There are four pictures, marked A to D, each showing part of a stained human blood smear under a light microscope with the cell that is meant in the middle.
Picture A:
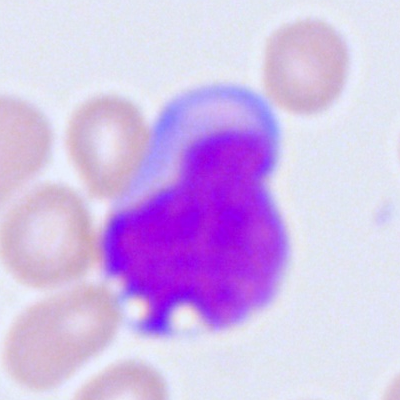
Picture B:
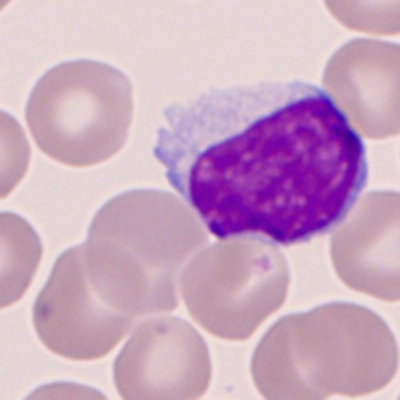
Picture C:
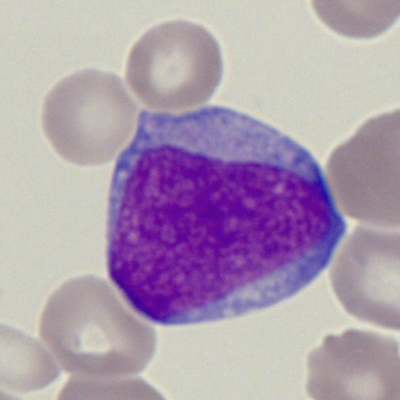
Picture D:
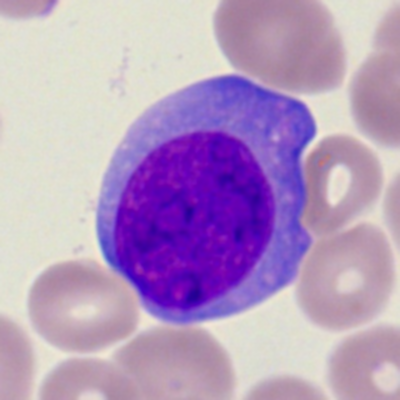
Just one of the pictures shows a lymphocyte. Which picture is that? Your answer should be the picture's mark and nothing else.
B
